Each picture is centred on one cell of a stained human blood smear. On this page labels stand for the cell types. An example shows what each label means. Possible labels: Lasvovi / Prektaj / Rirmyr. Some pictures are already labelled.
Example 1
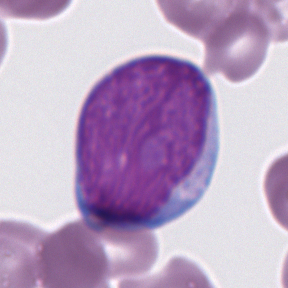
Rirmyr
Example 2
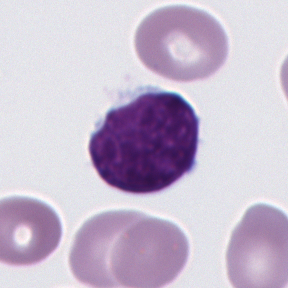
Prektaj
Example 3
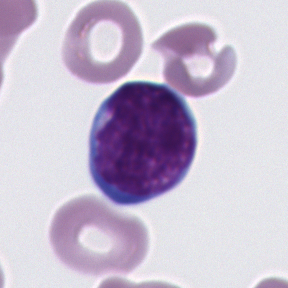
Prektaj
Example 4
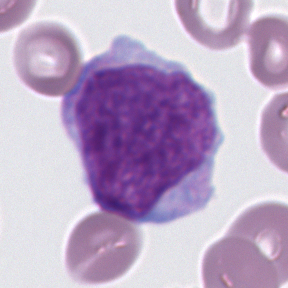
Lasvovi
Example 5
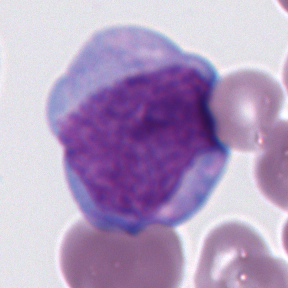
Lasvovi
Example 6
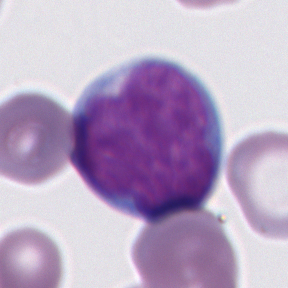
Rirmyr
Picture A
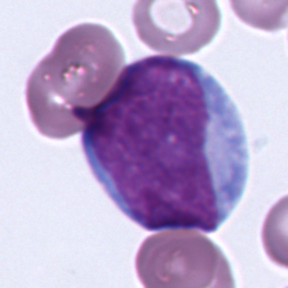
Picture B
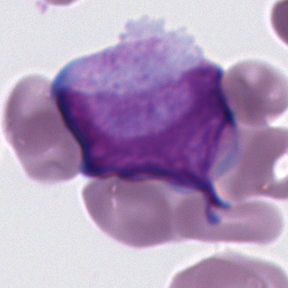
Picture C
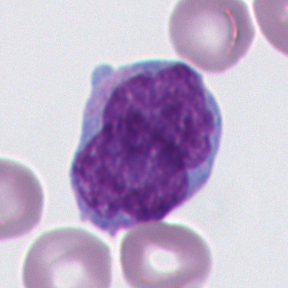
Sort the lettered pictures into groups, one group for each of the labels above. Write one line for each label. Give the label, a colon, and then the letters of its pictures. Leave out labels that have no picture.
Lasvovi: B, C
Rirmyr: A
